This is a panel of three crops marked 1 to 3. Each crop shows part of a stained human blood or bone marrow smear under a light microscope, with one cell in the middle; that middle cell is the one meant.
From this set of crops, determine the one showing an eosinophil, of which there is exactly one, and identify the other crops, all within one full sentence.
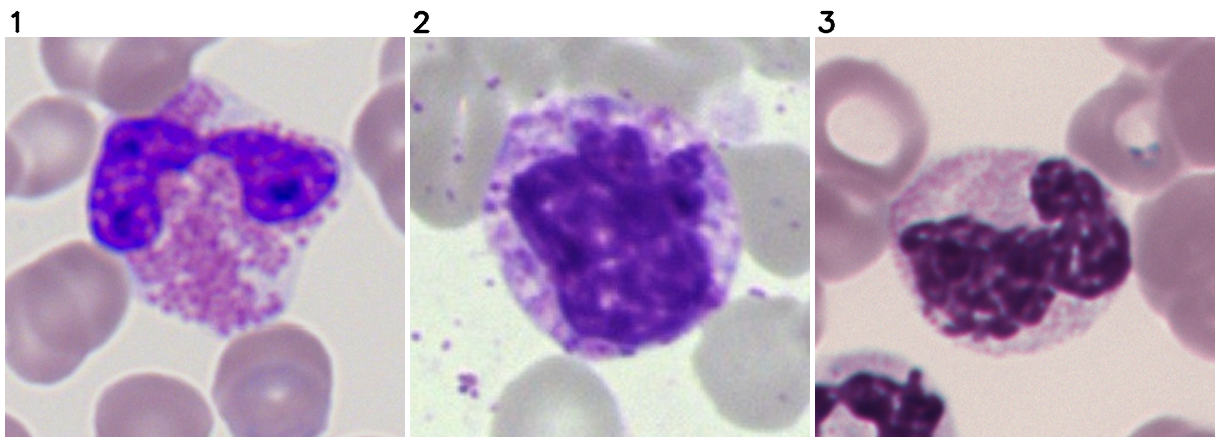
Crop 1 shows an eosinophil, and meanwhile crop 2 is a basophil and crop 3 is a segmented neutrophil.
